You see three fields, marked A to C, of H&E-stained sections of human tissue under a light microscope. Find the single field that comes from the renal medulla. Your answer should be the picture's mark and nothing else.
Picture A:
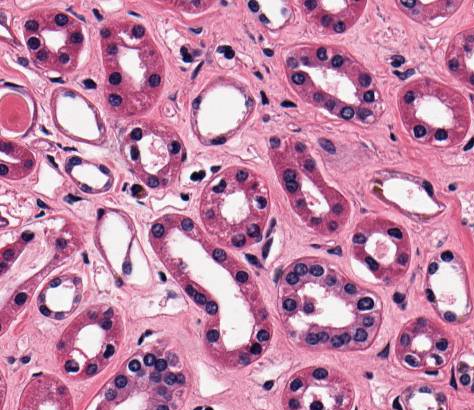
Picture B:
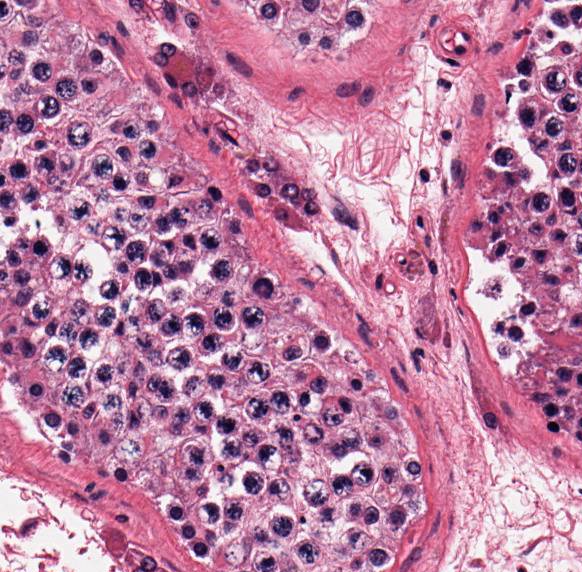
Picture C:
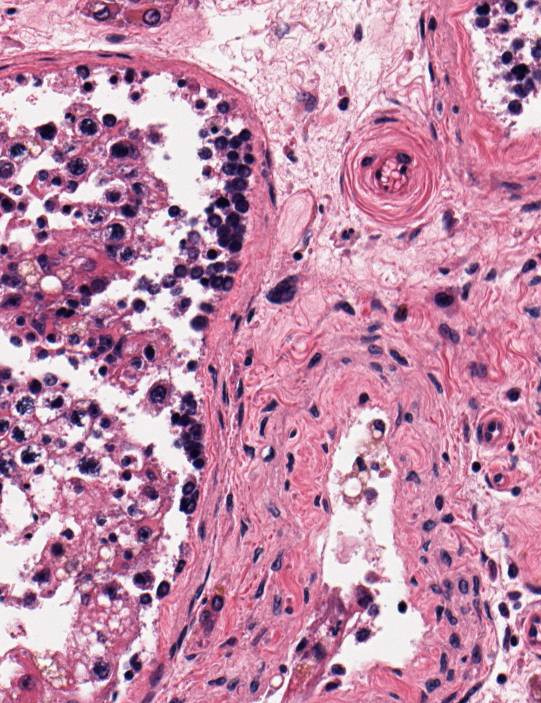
A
